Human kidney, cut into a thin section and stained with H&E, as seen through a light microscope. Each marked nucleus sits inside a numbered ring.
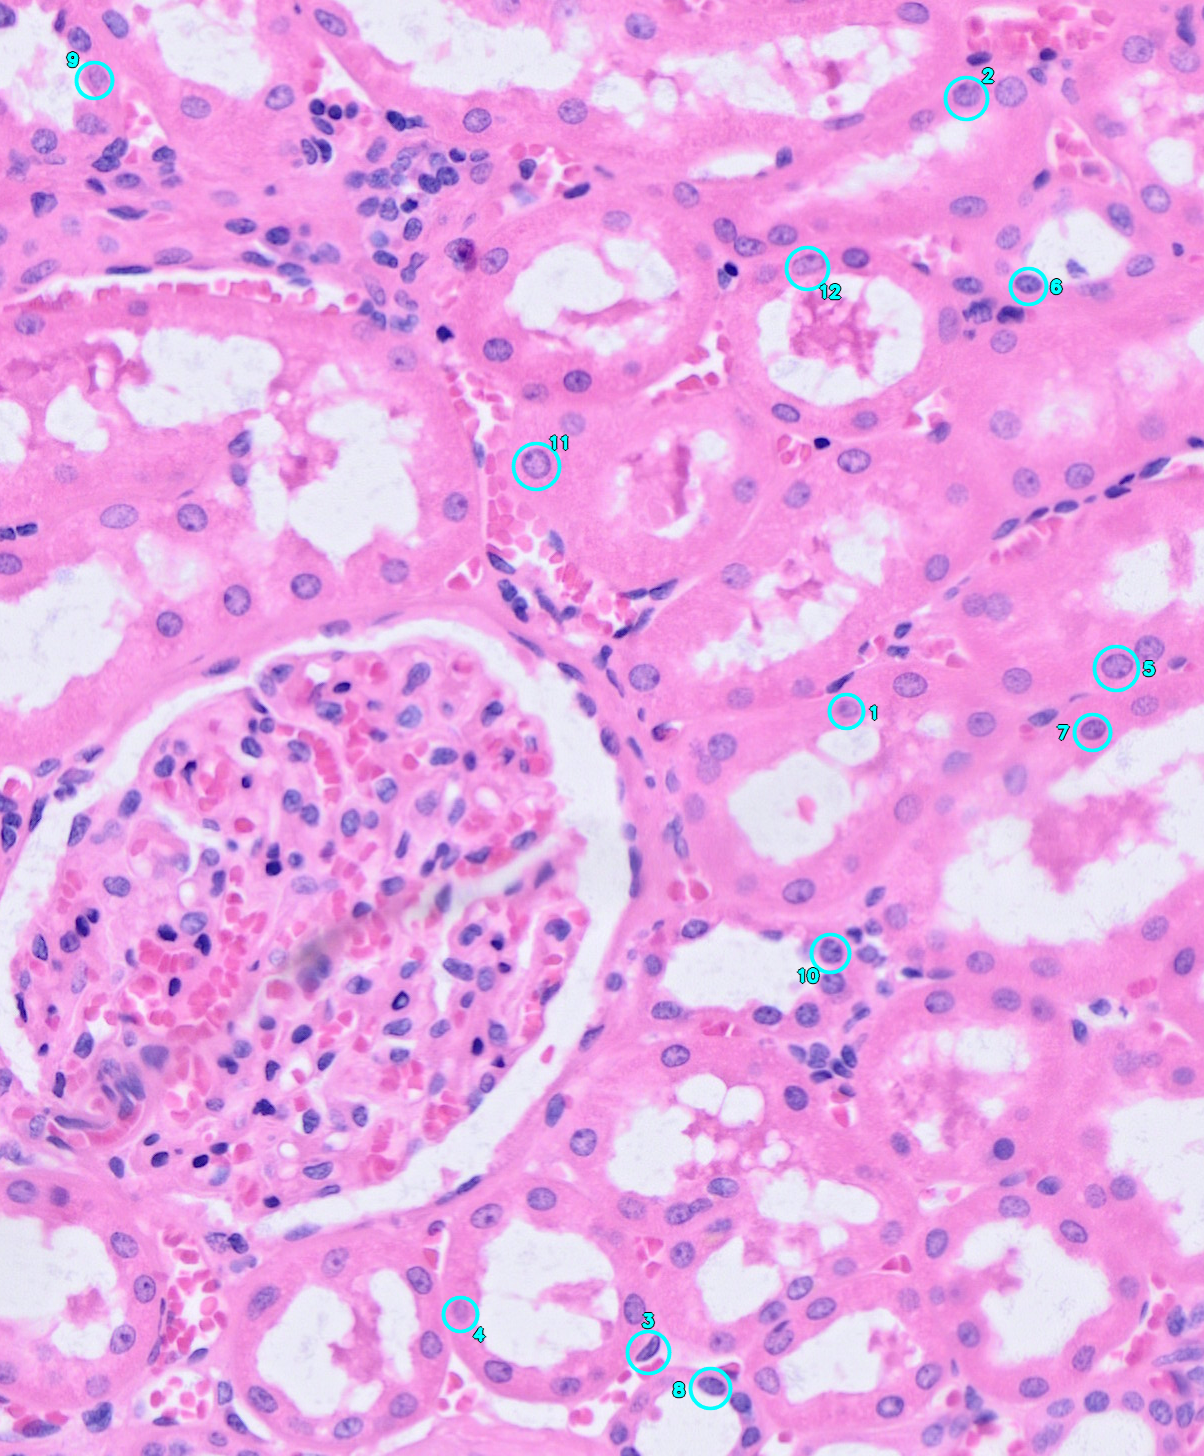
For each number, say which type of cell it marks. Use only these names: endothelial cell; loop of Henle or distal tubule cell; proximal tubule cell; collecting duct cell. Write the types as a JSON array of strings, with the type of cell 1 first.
["proximal tubule cell", "proximal tubule cell", "endothelial cell", "proximal tubule cell", "proximal tubule cell", "loop of Henle or distal tubule cell", "proximal tubule cell", "collecting duct cell", "loop of Henle or distal tubule cell", "loop of Henle or distal tubule cell", "proximal tubule cell", "proximal tubule cell"]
